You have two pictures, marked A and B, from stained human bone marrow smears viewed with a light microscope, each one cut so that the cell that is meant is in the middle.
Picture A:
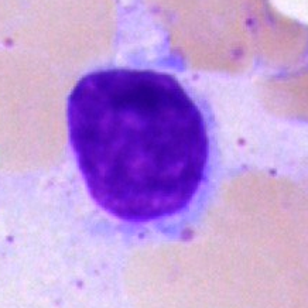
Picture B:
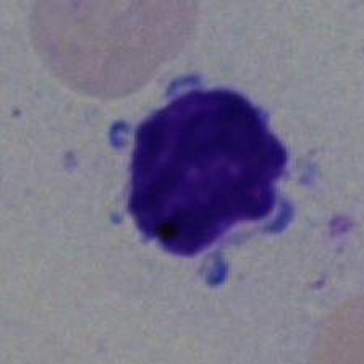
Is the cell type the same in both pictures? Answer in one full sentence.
Yes, both cells are lymphocytes.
